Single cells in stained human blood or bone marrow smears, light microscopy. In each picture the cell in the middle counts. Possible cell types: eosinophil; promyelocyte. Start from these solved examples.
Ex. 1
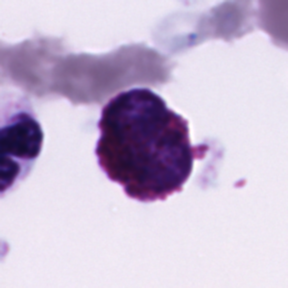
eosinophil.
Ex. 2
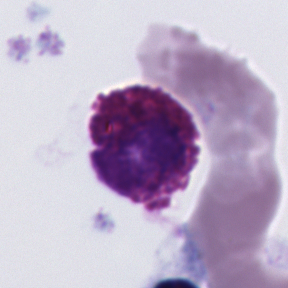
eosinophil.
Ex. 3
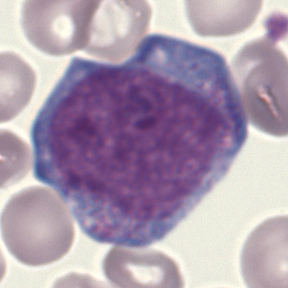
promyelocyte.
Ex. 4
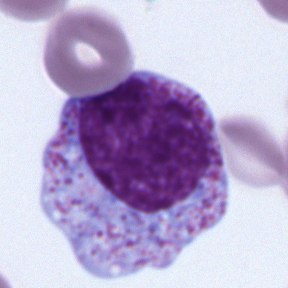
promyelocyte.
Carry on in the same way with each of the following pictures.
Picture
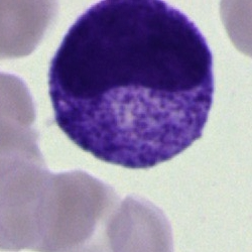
promyelocyte.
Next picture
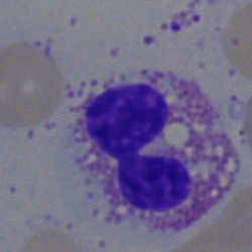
eosinophil.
